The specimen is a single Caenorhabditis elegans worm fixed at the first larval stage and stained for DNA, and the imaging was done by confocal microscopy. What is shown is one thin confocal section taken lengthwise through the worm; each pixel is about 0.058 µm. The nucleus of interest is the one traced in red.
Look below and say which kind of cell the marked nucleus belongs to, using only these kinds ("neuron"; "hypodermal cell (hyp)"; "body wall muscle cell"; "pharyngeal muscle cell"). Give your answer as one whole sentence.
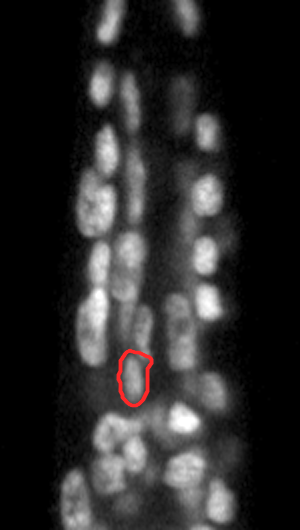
The nucleus comes from a neuron.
